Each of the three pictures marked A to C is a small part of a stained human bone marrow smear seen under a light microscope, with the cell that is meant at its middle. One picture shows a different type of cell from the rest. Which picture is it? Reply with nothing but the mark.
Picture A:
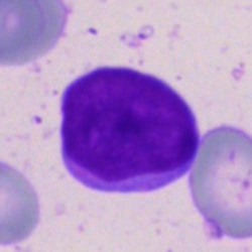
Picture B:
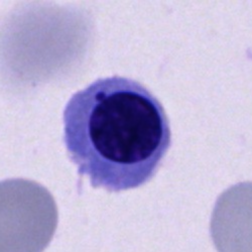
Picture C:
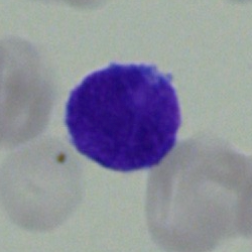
B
